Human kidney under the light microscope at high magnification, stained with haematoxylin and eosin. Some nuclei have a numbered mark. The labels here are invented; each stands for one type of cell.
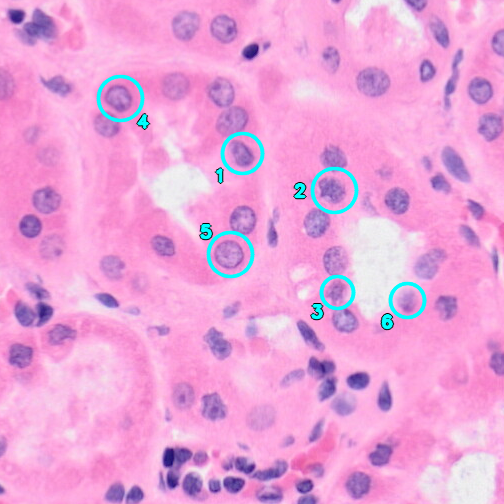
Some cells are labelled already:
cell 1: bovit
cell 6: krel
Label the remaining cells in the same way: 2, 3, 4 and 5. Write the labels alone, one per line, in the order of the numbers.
krel
krel
bovit
bovit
